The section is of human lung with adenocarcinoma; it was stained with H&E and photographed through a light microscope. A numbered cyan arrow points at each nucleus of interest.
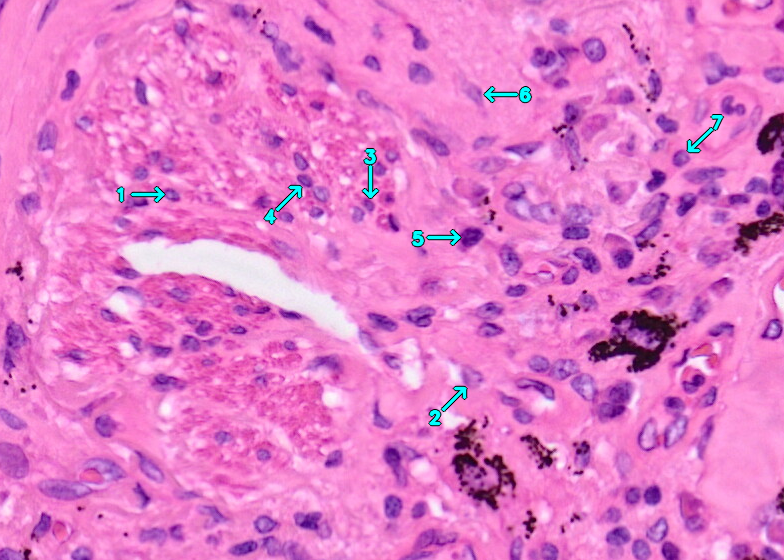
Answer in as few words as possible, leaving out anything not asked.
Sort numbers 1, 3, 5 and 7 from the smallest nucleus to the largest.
3, 1, 7, 5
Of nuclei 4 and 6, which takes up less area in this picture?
4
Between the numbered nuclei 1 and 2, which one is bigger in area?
2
